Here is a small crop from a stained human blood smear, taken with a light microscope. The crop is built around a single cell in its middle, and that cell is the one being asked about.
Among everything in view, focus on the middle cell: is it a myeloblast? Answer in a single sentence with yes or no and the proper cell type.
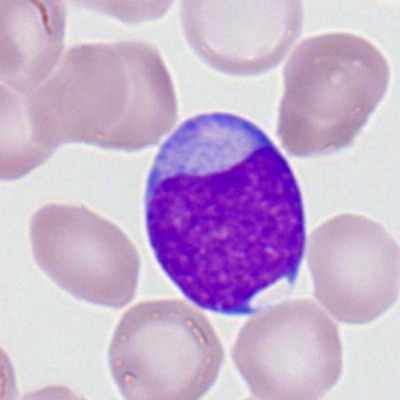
Yes, the cell in the exact middle is a myeloblast.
